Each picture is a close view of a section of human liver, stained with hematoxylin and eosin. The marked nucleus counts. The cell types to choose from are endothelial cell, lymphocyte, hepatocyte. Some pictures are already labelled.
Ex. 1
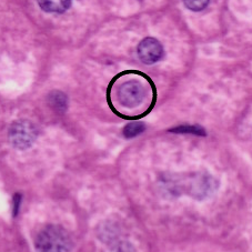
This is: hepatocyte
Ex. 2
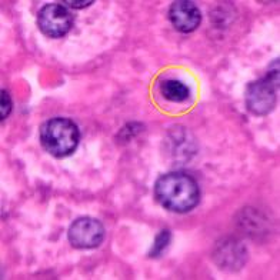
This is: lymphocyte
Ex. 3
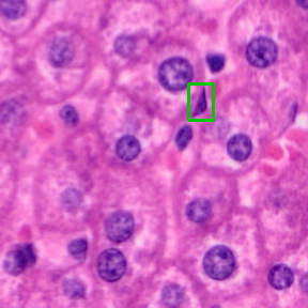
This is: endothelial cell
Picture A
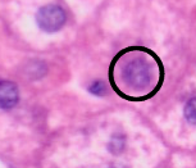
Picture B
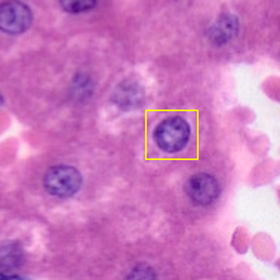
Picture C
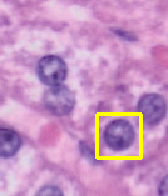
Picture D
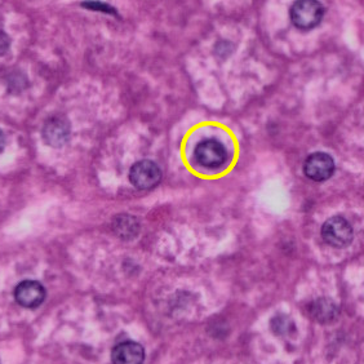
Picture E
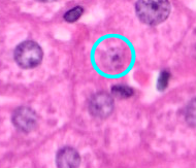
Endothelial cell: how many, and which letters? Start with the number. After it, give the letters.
0, none of them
